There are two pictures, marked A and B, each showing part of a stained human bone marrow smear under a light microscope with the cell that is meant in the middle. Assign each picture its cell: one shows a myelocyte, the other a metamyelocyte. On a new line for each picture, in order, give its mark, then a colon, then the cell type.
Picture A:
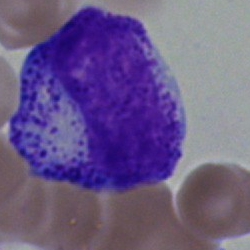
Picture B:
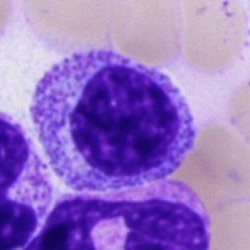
A: metamyelocyte
B: myelocyte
